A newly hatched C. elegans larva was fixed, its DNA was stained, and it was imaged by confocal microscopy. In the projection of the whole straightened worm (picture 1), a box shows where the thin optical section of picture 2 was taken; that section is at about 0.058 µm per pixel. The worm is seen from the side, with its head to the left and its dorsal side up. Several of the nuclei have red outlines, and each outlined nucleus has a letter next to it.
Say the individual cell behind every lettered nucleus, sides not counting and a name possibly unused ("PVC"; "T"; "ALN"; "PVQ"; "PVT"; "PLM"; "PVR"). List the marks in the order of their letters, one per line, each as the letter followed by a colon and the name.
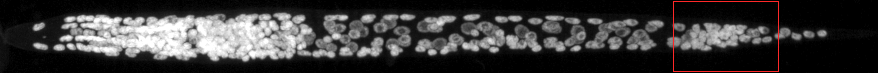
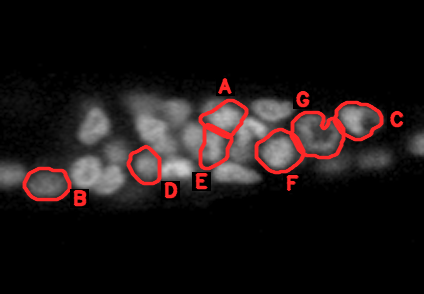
A: ALN
B: PVT
C: PVR
D: PVQ
E: PVC
F: PLM
G: T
